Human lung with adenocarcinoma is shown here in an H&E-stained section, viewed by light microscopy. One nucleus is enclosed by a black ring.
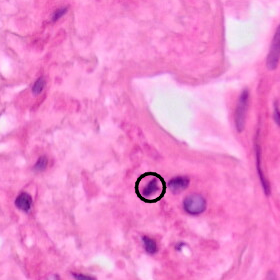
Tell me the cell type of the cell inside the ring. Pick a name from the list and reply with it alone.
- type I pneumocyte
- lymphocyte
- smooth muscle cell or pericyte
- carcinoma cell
smooth muscle cell or pericyte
